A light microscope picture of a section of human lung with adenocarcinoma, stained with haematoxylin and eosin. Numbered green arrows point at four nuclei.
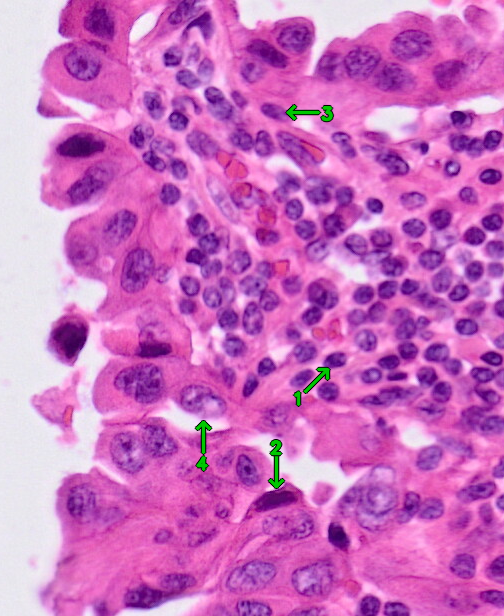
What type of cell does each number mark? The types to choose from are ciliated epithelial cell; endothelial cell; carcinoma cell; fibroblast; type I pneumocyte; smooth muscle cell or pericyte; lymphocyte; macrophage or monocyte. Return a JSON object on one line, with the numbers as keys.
{"1": "lymphocyte", "2": "carcinoma cell", "3": "lymphocyte", "4": "carcinoma cell"}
